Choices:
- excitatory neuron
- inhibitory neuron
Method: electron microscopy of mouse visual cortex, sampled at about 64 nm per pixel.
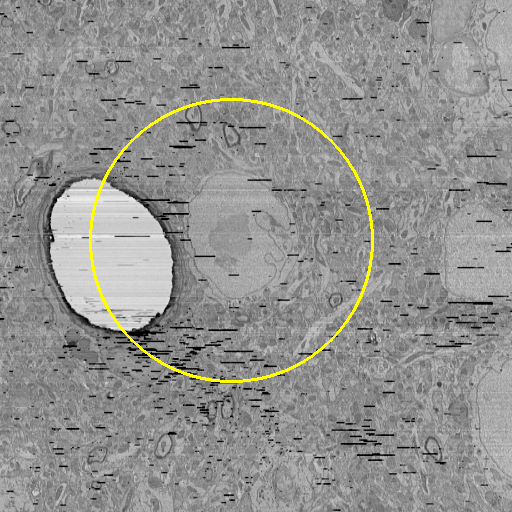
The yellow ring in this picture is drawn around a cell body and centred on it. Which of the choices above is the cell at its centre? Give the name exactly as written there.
inhibitory neuron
